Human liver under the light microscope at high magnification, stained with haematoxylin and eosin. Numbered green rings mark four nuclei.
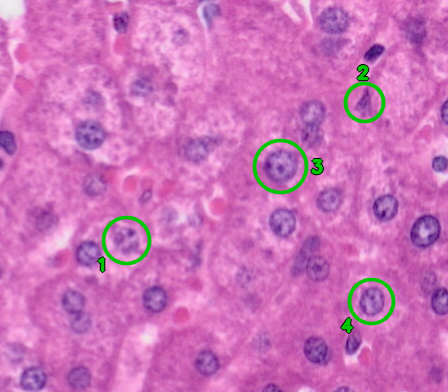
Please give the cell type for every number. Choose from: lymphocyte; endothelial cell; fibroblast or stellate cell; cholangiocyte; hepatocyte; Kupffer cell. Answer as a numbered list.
1. hepatocyte
2. endothelial cell
3. hepatocyte
4. hepatocyte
